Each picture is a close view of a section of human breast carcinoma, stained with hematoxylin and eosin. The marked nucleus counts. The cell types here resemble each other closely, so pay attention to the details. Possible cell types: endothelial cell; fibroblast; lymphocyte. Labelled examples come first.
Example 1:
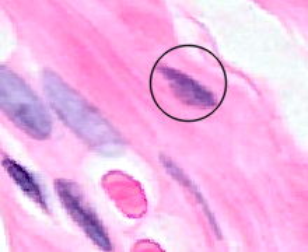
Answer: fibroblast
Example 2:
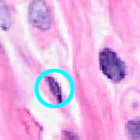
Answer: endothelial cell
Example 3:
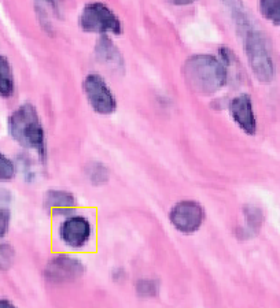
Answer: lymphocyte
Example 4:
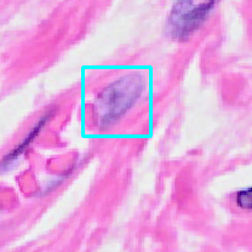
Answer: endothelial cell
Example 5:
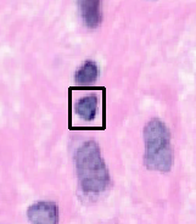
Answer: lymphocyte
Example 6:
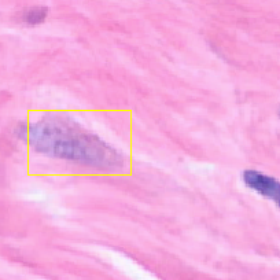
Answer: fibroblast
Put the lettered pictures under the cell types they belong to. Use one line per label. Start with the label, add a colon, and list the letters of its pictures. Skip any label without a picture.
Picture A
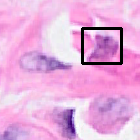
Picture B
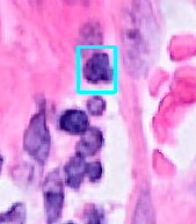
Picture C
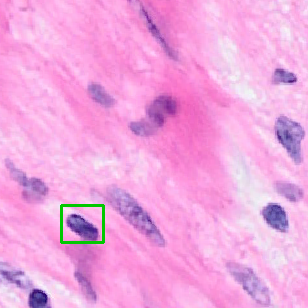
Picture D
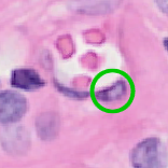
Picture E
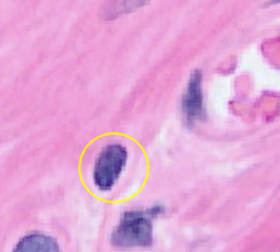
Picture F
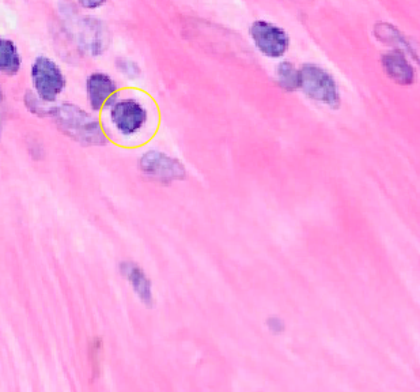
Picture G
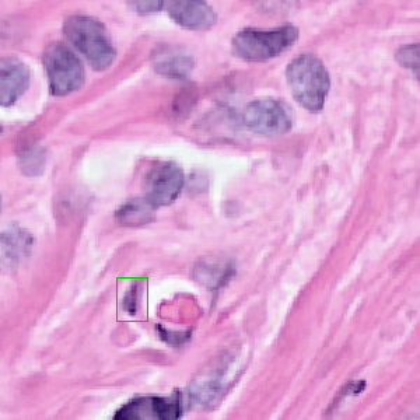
endothelial cell: A, D, G
lymphocyte: B, C, E, F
